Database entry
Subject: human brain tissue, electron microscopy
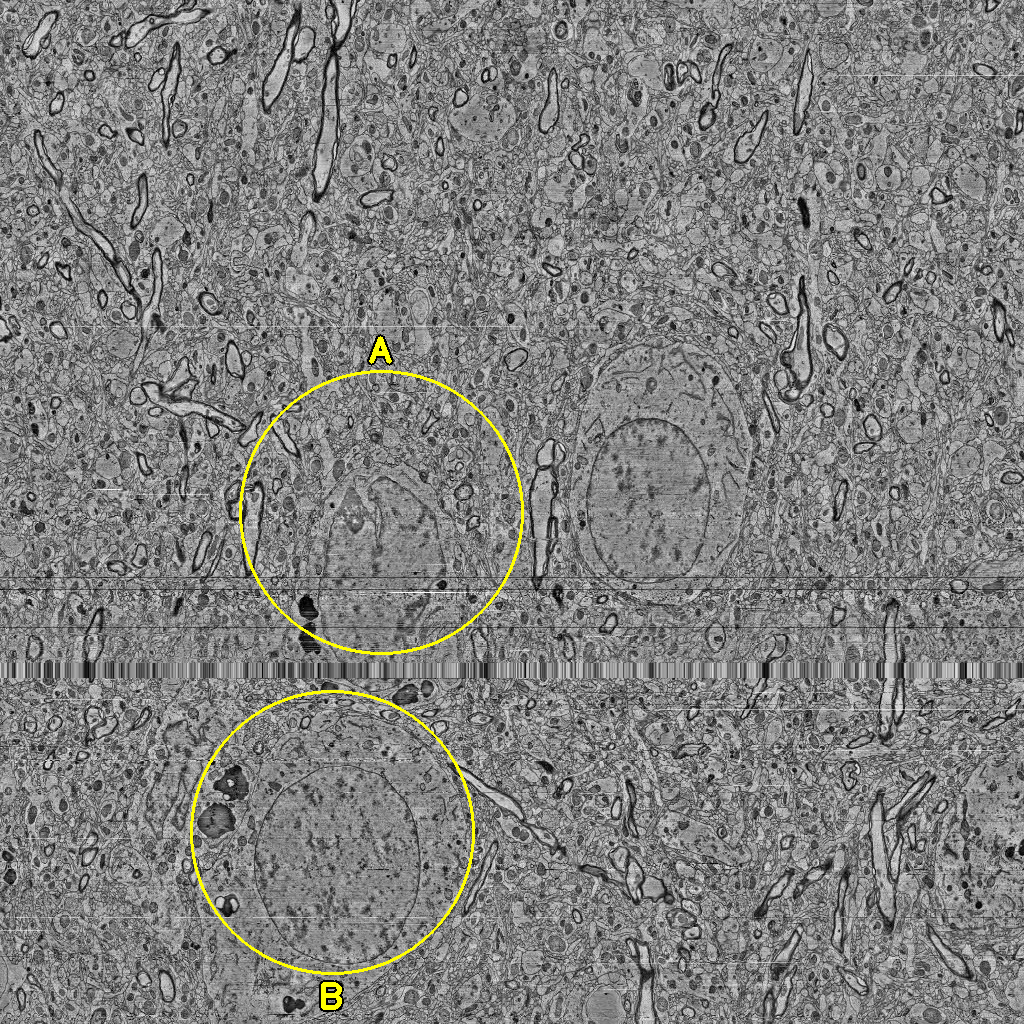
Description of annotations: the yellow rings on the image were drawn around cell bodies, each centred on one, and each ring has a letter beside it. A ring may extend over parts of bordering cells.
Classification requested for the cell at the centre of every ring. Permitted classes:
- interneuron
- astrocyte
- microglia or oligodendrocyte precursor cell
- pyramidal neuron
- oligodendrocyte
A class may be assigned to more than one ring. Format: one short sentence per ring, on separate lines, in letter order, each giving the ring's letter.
The cell body at the centre of ring A is an interneuron.
The cell body at the centre of ring B is a pyramidal neuron.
